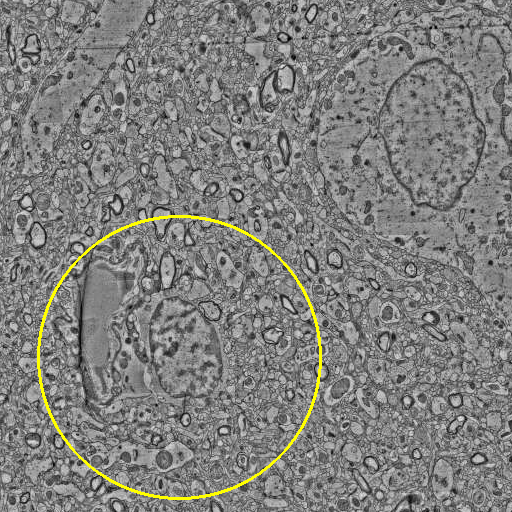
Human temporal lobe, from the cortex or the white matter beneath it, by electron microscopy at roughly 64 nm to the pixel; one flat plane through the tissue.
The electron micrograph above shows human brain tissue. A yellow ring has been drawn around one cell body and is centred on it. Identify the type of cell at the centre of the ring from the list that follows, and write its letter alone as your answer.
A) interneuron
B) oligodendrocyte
B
